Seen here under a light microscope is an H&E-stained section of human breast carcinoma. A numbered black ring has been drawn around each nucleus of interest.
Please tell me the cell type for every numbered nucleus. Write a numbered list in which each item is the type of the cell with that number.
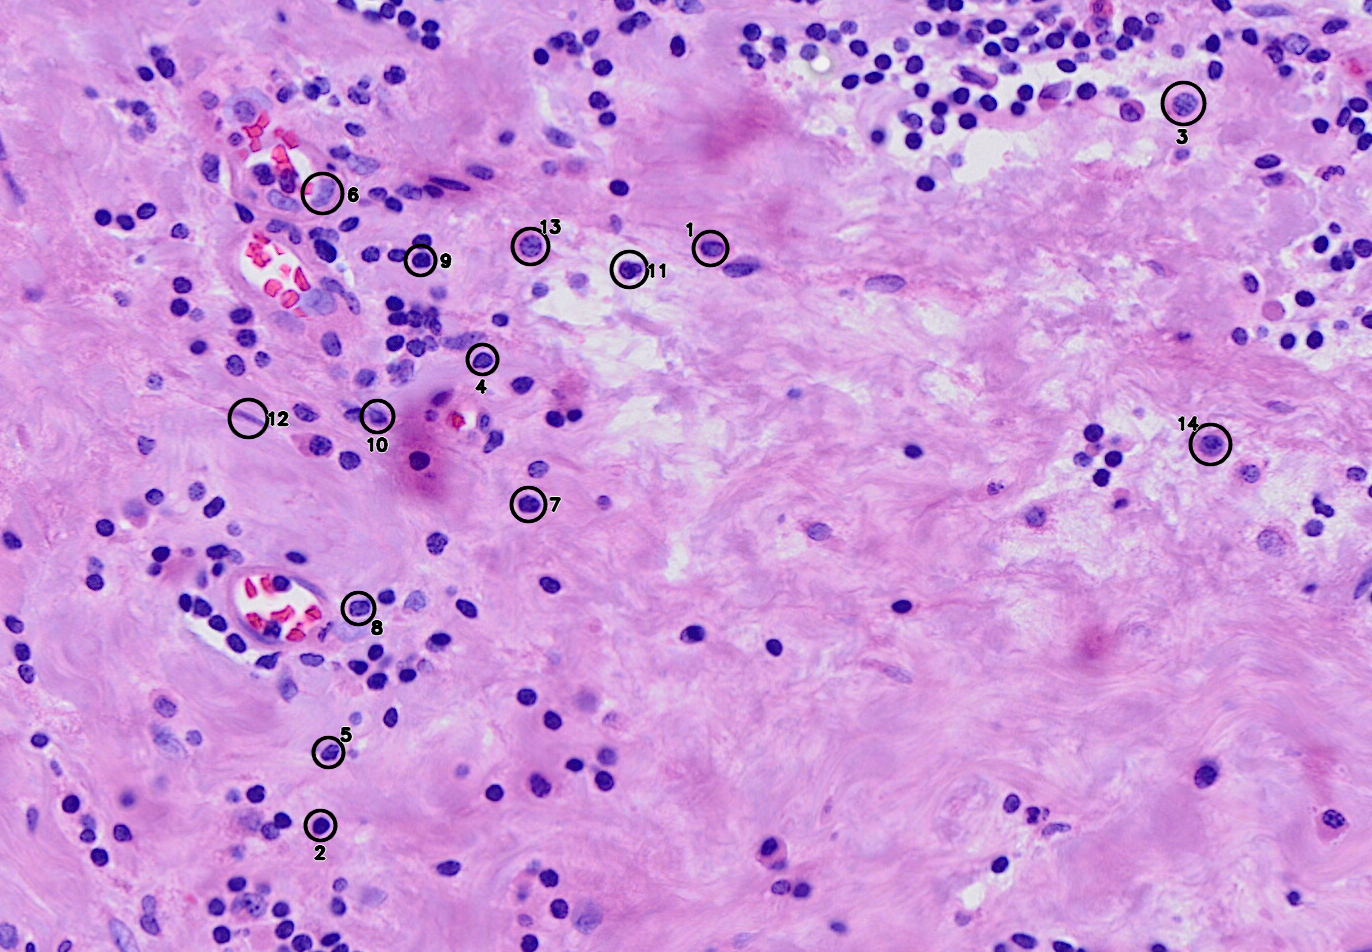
1. mast cell
2. lymphocyte
3. mast cell
4. lymphocyte
5. lymphocyte
6. endothelial cell
7. lymphocyte
8. lymphocyte
9. lymphocyte
10. lymphocyte
11. lymphocyte
12. fibroblast
13. mast cell
14. mast cell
